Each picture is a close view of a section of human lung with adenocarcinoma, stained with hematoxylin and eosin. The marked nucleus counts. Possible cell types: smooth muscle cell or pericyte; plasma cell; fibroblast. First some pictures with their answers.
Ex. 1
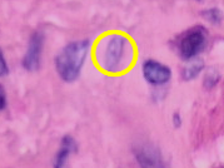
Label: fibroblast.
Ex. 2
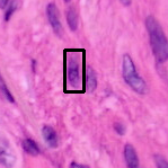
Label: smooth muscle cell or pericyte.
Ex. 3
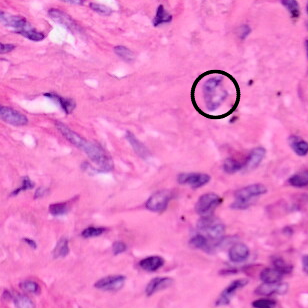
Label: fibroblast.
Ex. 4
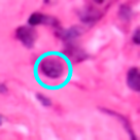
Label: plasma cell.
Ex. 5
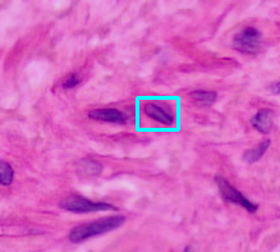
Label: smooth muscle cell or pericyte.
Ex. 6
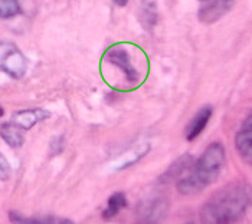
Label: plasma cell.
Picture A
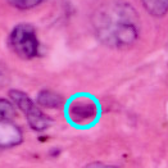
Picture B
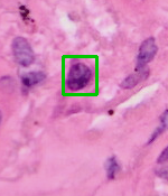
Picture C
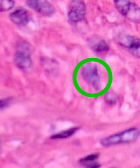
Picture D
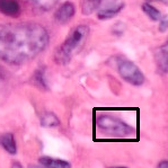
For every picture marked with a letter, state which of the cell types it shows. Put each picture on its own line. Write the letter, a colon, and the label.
A: plasma cell.
B: plasma cell.
C: smooth muscle cell or pericyte.
D: fibroblast.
